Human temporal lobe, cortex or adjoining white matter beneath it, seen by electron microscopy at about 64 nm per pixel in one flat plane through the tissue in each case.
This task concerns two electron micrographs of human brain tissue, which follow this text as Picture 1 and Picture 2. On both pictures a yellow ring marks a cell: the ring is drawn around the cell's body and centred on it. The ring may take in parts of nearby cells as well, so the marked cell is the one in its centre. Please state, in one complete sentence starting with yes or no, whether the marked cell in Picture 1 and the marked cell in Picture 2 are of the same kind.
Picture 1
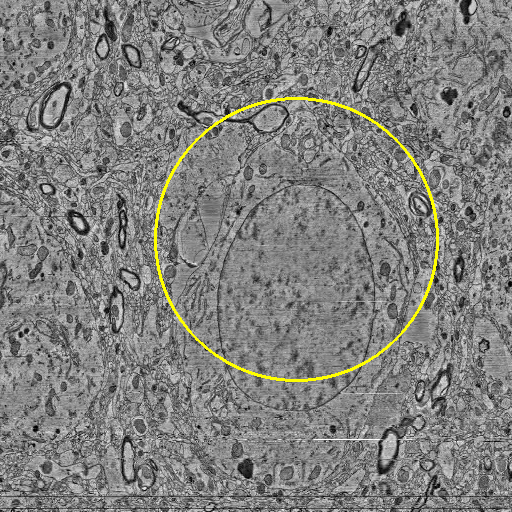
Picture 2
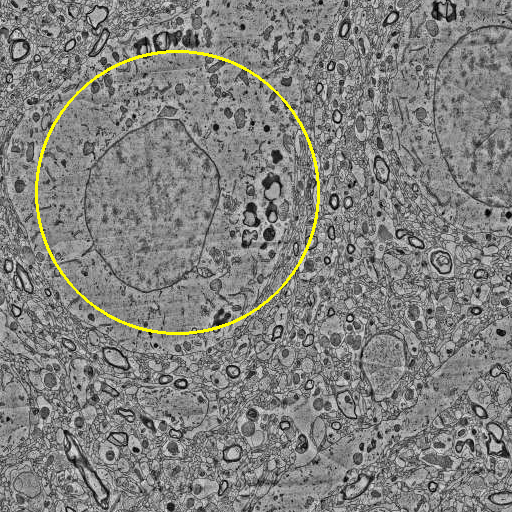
Yes, the marked cells in both pictures are of the same kind.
